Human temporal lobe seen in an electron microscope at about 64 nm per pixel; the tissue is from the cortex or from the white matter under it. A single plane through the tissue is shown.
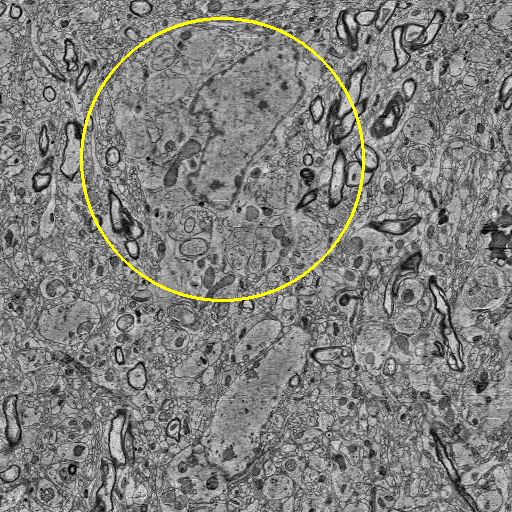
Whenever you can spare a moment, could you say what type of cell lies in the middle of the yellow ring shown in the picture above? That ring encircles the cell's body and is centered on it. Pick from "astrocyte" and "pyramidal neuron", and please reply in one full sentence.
The cell whose body sits at the middle of the yellow ring is an astrocyte.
